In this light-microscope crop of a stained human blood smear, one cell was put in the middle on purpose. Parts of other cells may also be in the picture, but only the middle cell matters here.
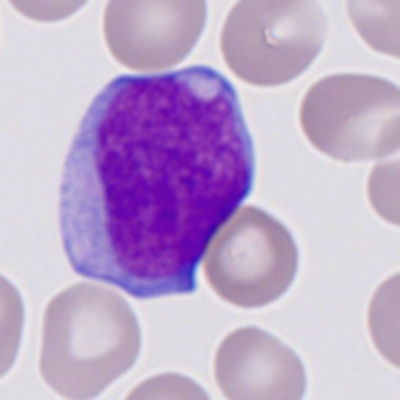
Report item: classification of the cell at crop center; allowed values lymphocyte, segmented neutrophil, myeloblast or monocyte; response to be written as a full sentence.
The cell positioned in the middle of the field is a myeloblast.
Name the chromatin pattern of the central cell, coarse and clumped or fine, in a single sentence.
You can see that its chromatin is coarsely clumped.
